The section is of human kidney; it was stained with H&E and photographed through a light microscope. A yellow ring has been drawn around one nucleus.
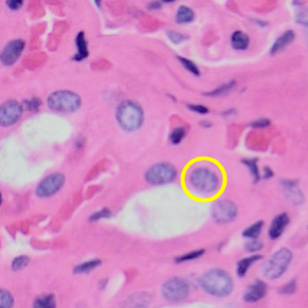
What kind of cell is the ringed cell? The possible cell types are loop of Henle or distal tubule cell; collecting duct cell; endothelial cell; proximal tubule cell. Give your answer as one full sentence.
The ringed cell is a loop of Henle or distal tubule cell.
